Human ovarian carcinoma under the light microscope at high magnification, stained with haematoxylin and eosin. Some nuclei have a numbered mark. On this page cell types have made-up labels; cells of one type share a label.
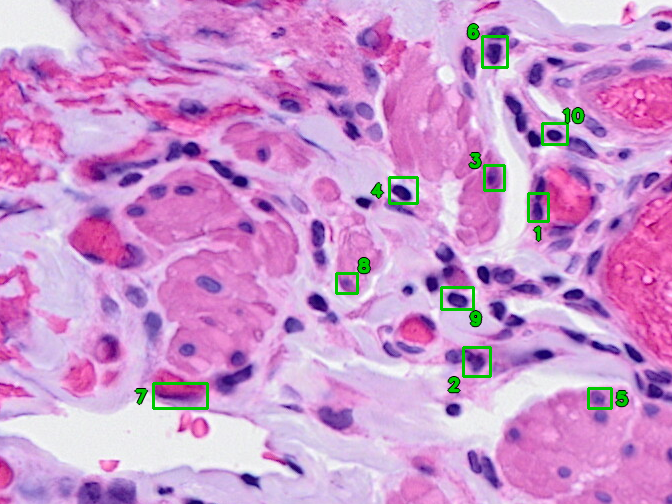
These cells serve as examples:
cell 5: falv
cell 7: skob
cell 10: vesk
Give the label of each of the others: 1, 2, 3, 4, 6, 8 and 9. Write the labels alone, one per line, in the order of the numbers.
skob
vesk
falv
vesk
vesk
falv
vesk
